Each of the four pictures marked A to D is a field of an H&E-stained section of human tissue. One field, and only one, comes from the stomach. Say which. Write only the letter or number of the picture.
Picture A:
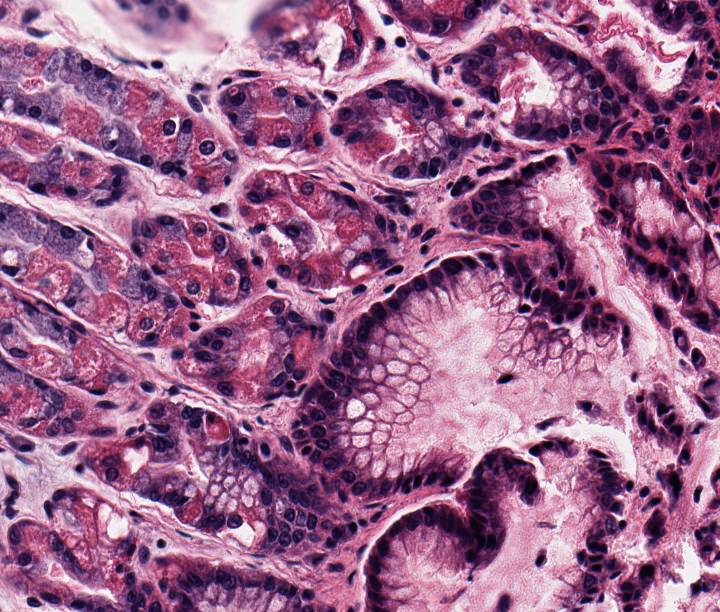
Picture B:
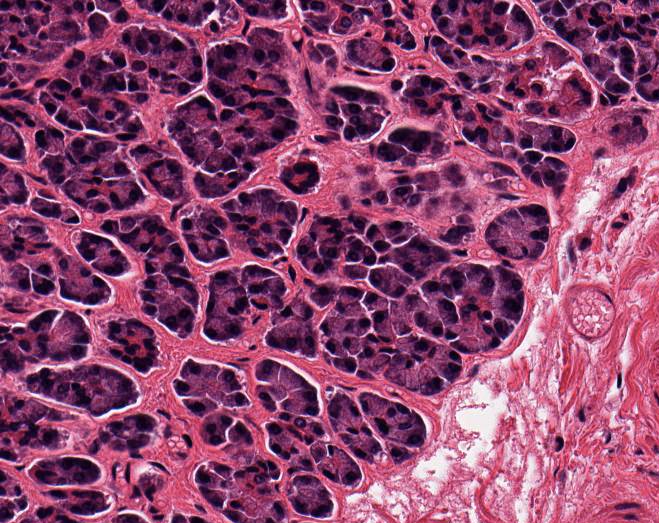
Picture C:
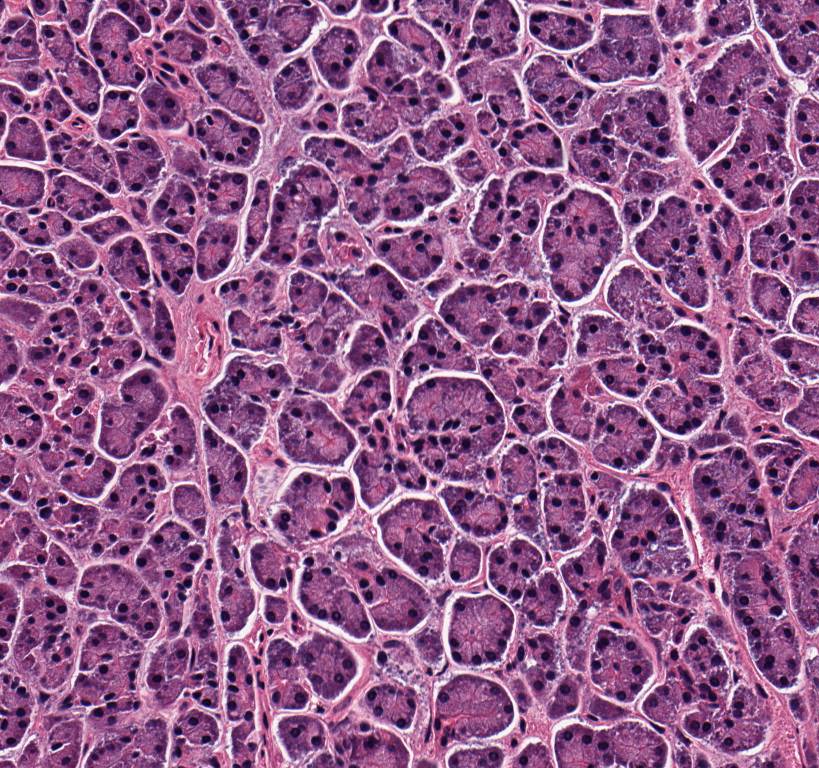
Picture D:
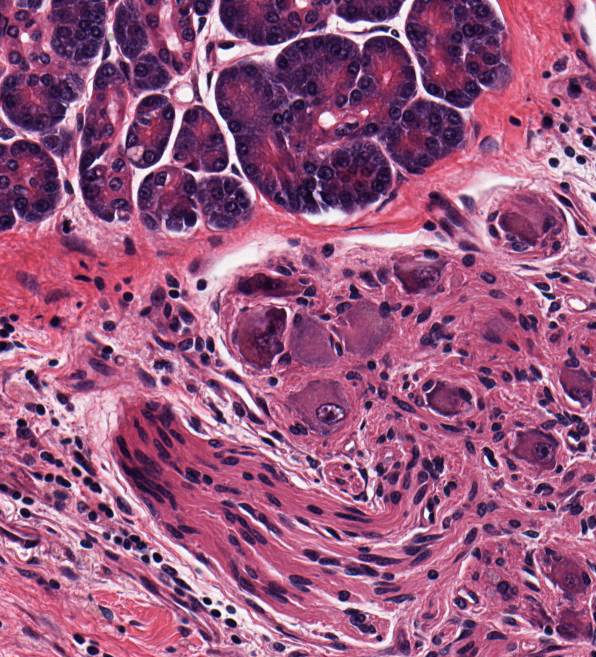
A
